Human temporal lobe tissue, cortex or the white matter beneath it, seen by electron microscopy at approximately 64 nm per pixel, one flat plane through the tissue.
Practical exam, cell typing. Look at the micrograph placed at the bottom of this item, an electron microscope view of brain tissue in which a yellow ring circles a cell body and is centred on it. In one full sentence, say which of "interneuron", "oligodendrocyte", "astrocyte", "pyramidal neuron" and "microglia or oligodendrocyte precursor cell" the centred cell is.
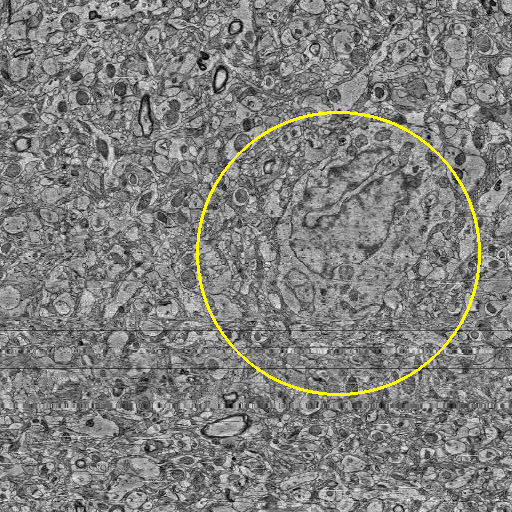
Given the options, an interneuron fits the cell whose body the yellow ring is centred on.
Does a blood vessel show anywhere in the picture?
No.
